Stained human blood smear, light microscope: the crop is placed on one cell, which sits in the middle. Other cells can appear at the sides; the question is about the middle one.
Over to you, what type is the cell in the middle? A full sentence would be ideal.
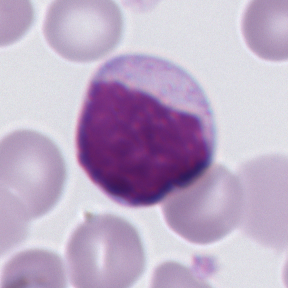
The identification for the central cell is a large granular lymphocyte.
